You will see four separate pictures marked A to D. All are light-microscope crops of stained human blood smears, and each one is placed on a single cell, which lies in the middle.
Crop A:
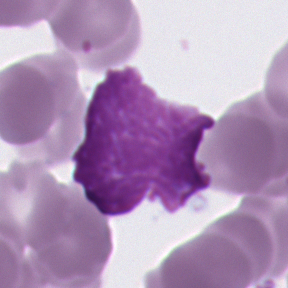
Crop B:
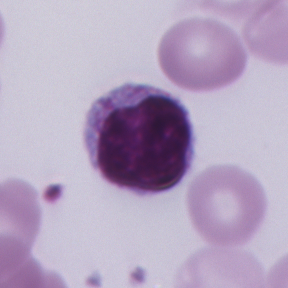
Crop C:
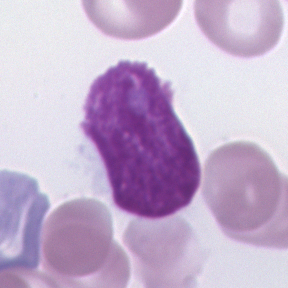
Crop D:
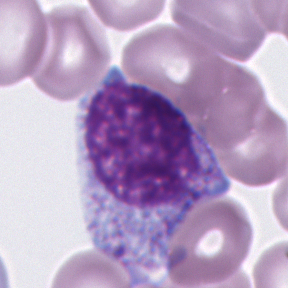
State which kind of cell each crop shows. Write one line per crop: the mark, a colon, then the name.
A: smudge cell
B: large granular lymphocyte
C: smudge cell
D: myelocyte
